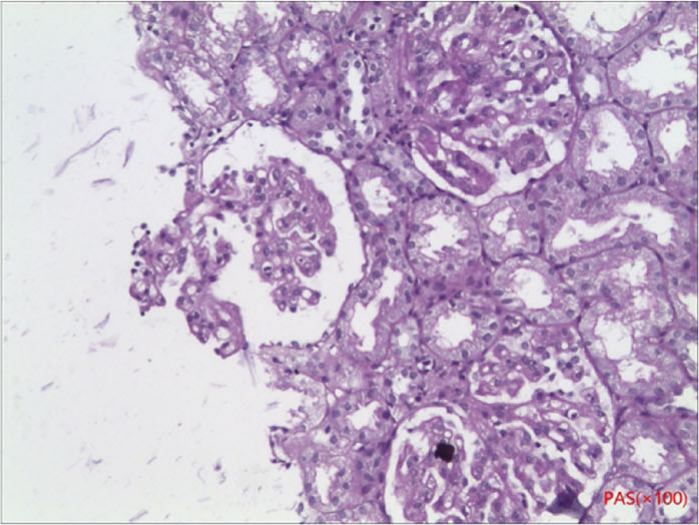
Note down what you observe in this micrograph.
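Renal cortex stained purple-magenta, with glomeruli whose tufts are cellular and lobulated, with thickened magenta capillary walls and mesangial areas, inside Bowman's capsules. Numerous tubules with magenta basement membranes lie closely packed around them, lined by epithelial cells with pale, irregular cytoplasm. The tissue edge on the left is ragged.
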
